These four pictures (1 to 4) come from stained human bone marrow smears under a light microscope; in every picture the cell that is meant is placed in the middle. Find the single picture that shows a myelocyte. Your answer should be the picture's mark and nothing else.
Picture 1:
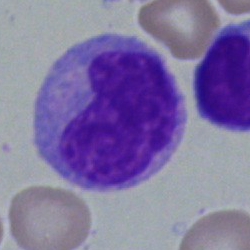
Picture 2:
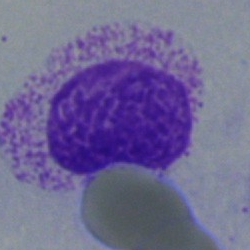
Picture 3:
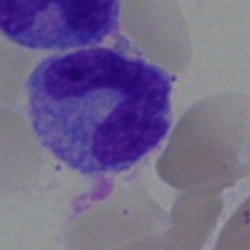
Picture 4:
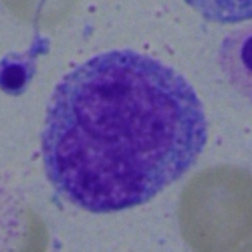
2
